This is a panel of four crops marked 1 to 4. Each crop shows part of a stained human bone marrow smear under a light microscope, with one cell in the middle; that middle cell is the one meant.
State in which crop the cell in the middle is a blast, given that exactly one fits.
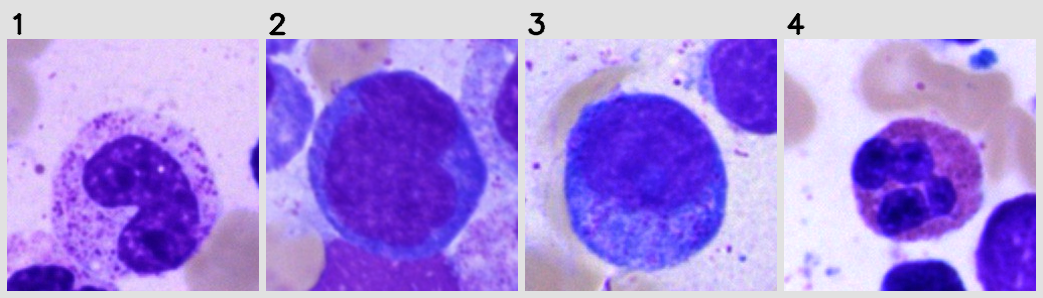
2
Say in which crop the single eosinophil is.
4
